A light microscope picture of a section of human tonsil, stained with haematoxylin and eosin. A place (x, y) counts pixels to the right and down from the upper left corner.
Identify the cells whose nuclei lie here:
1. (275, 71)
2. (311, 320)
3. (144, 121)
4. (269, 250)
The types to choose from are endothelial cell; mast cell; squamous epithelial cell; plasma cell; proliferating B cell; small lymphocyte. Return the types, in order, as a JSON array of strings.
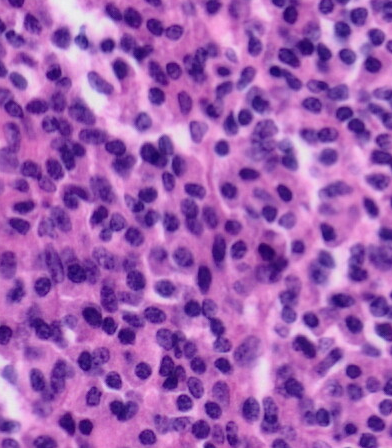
["small lymphocyte", "plasma cell", "plasma cell", "plasma cell"]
